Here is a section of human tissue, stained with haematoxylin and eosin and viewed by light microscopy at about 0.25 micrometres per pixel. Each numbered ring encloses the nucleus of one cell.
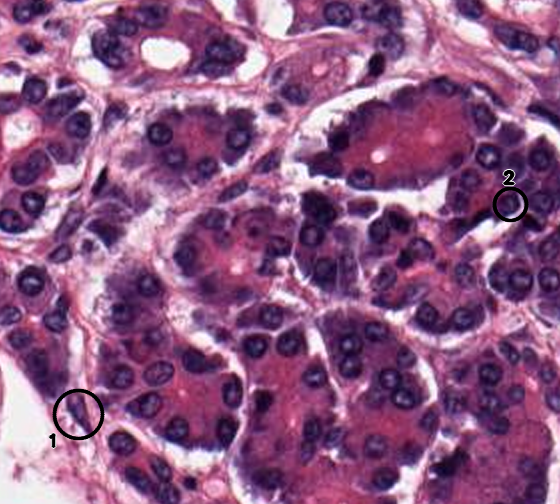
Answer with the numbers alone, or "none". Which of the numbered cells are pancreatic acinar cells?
2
